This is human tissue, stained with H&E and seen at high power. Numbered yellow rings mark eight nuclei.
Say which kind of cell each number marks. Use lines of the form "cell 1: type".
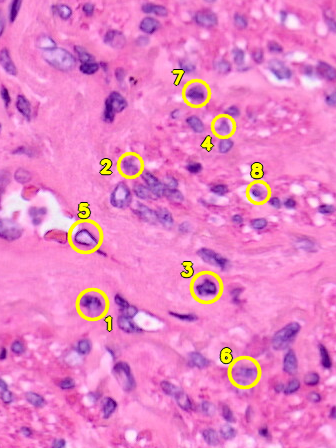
cell 1: mast cell
cell 2: smooth muscle cell or pericyte
cell 3: mast cell
cell 4: smooth muscle cell or pericyte
cell 5: endothelial cell
cell 6: smooth muscle cell or pericyte
cell 7: smooth muscle cell or pericyte
cell 8: smooth muscle cell or pericyte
